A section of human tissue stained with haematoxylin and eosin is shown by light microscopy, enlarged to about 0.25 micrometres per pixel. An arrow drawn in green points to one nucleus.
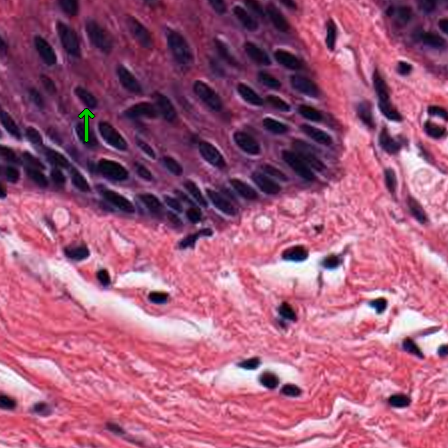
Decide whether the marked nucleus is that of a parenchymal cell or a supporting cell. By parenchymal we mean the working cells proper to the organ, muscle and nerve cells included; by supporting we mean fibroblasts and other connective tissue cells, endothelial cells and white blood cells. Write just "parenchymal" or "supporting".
parenchymal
